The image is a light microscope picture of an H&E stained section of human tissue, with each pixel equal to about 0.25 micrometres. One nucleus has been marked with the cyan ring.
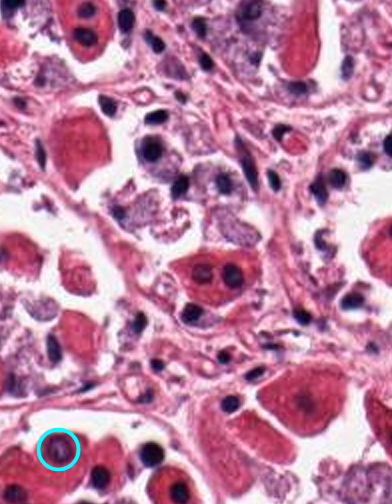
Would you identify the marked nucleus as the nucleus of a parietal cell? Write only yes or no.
yes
